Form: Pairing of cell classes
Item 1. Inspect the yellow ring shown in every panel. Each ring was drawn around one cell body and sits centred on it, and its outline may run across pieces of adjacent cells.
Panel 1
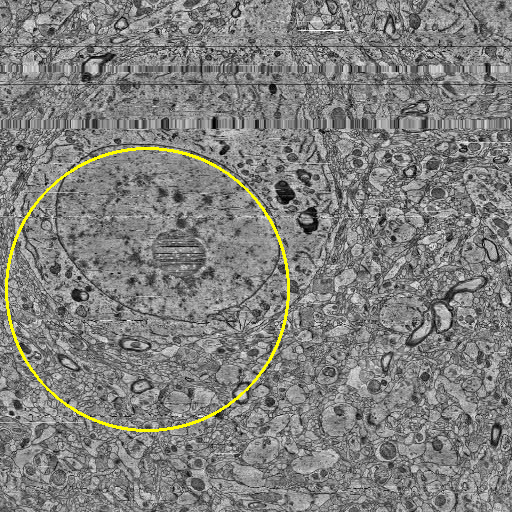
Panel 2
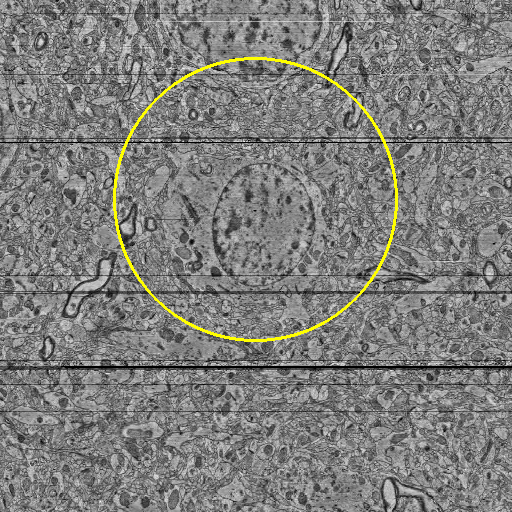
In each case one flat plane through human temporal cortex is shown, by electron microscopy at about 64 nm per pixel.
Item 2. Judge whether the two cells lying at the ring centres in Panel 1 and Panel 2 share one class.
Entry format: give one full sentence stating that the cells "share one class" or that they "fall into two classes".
The cells at the ring centres in Panel 1 and Panel 2 fall into two classes.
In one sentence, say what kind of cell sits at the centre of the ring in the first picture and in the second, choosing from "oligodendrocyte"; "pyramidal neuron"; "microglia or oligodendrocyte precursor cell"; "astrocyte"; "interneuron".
The first picture's ringed cell is a pyramidal neuron, while the second picture's is an astrocyte.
